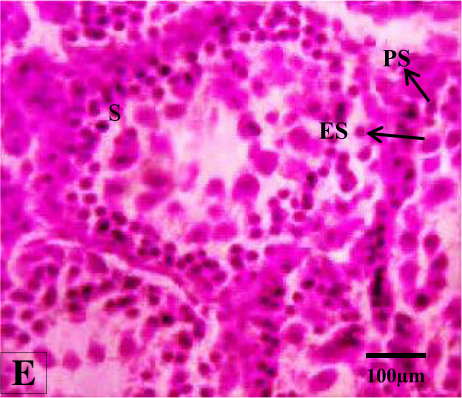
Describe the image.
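Closely packed seminiferous tubules filled with many layers of round spermatogenic cells with dark purple nuclei in pink cytoplasm. The central lumen is small and pale, surrounded by densely crowded cells. Little or no space is seen between adjacent tubules.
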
